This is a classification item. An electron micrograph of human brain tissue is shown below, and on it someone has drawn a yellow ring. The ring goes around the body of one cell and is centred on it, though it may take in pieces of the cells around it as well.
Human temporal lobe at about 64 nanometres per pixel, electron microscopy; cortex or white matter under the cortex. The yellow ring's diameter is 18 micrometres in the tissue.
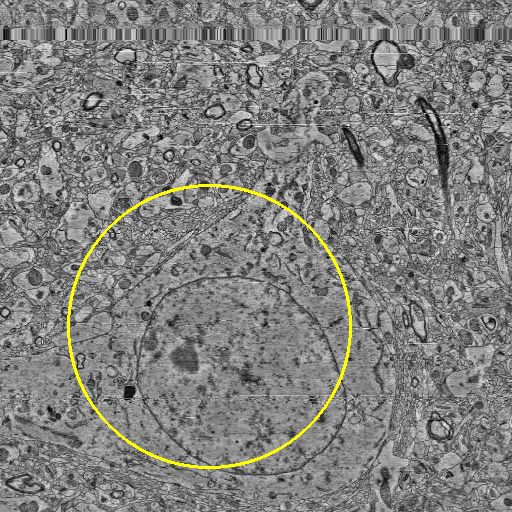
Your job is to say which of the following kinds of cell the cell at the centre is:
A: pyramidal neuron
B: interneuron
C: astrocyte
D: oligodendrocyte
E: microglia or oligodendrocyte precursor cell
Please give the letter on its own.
A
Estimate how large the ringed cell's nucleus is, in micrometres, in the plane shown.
About 14 micrometres across, as seen in this plane.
